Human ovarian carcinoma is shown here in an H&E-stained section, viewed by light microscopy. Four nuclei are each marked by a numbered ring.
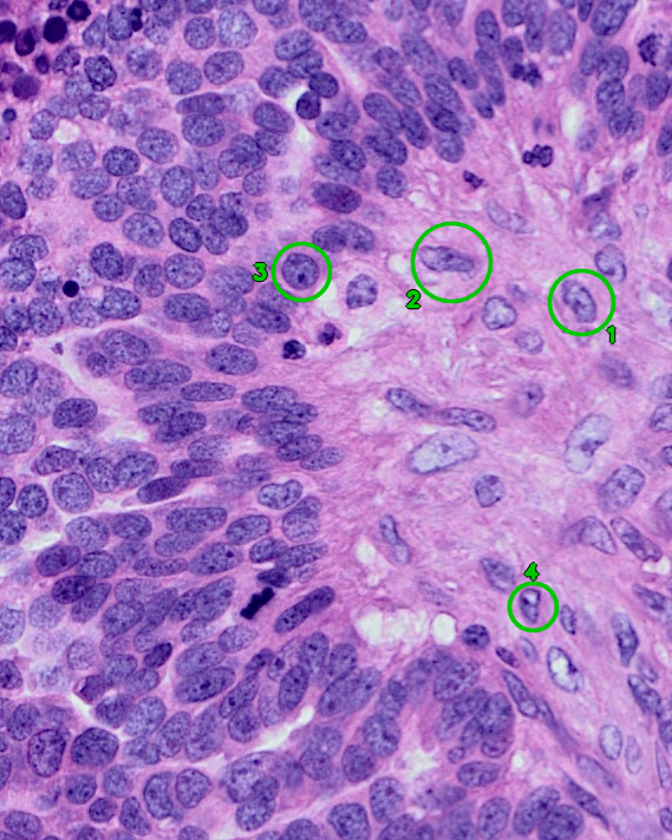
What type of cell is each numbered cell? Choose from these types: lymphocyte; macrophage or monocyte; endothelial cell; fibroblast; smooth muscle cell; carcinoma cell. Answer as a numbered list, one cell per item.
1. fibroblast
2. fibroblast
3. carcinoma cell
4. fibroblast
